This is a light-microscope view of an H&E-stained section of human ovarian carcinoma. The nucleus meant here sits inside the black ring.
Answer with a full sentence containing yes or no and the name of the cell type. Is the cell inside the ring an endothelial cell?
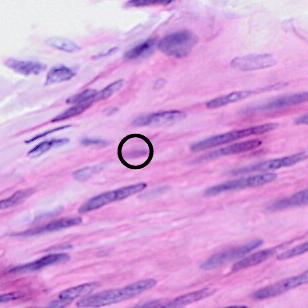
No, the cell inside the ring is correctly named a smooth muscle cell; it is not an endothelial cell.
